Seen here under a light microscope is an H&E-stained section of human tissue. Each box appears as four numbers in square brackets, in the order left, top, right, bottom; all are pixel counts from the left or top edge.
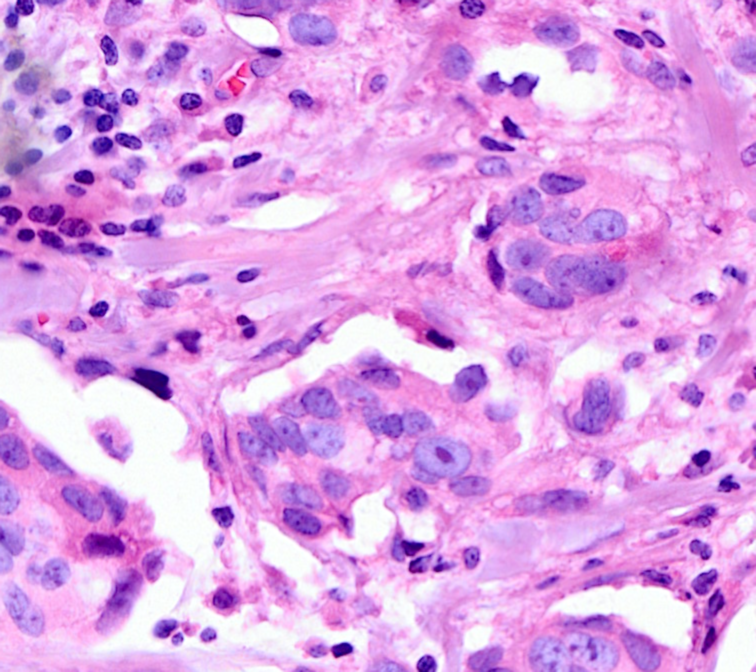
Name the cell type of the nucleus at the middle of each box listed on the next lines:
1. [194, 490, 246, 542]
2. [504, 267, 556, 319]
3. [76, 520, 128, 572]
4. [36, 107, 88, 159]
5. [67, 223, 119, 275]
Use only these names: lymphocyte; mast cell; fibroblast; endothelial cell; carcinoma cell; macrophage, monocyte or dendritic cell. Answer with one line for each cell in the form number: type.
1: lymphocyte
2: carcinoma cell
3: carcinoma cell
4: lymphocyte
5: lymphocyte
